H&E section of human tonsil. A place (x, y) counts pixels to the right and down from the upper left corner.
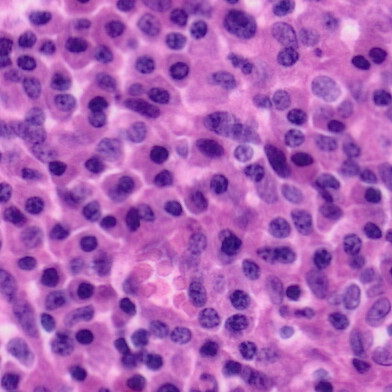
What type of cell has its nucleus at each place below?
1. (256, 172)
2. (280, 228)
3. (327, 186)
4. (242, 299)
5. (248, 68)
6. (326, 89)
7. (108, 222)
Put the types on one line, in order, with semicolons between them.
plasma cell; plasma cell; squamous epithelial cell; plasma cell; squamous epithelial cell; squamous epithelial cell; plasma cell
